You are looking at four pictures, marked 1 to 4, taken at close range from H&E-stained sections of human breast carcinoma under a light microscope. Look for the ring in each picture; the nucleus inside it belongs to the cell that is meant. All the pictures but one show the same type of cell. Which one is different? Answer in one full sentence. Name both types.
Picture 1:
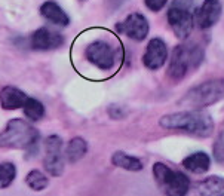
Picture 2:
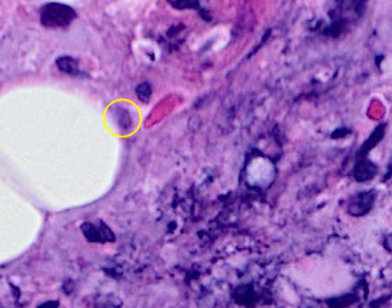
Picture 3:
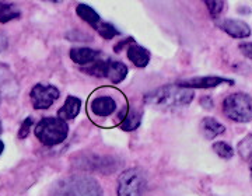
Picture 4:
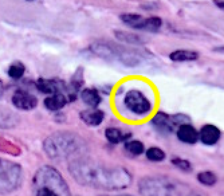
The different one is picture 2; it shows an endothelial cell, whereas all the others show lymphocytes.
